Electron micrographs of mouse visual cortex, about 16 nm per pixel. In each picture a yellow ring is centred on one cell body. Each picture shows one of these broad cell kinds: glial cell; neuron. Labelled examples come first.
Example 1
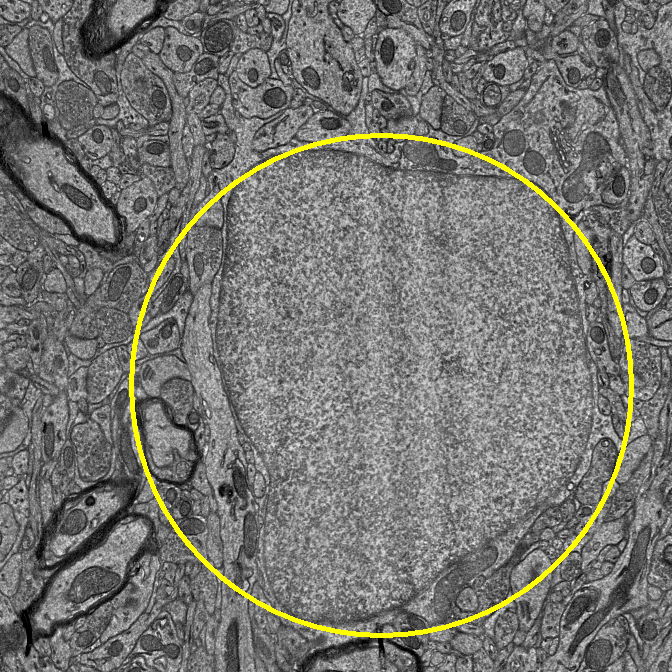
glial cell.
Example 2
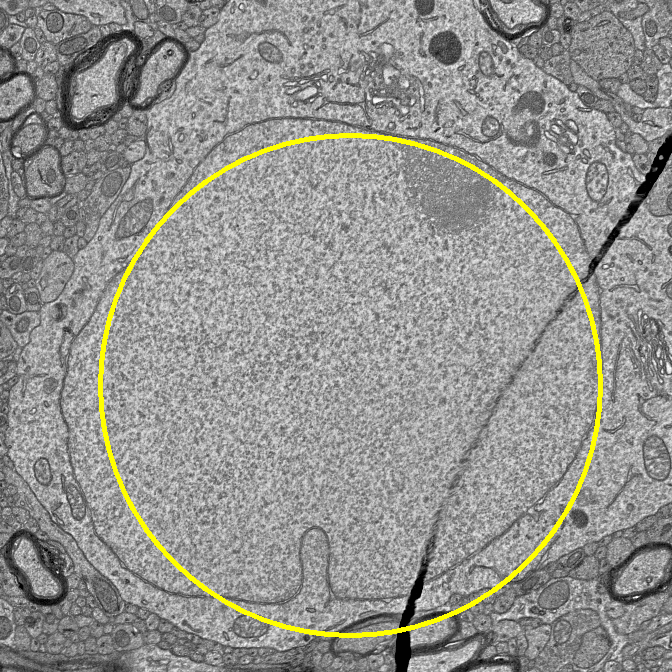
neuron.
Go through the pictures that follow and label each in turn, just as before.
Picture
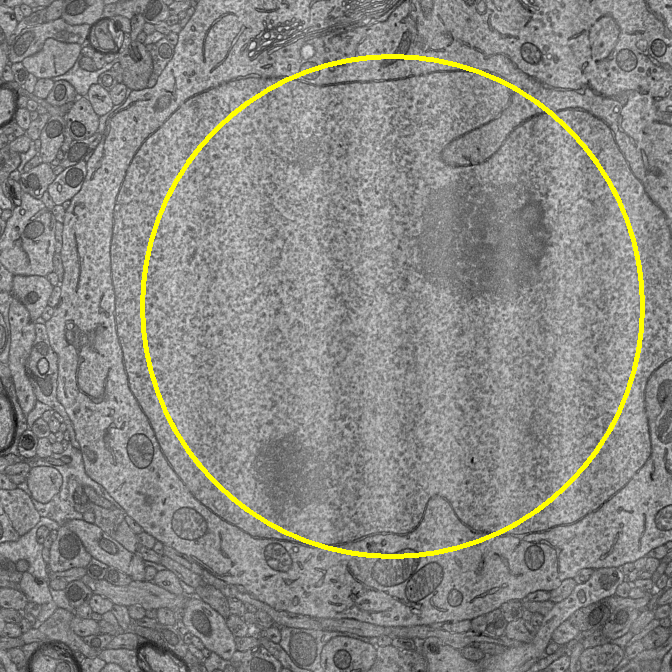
neuron.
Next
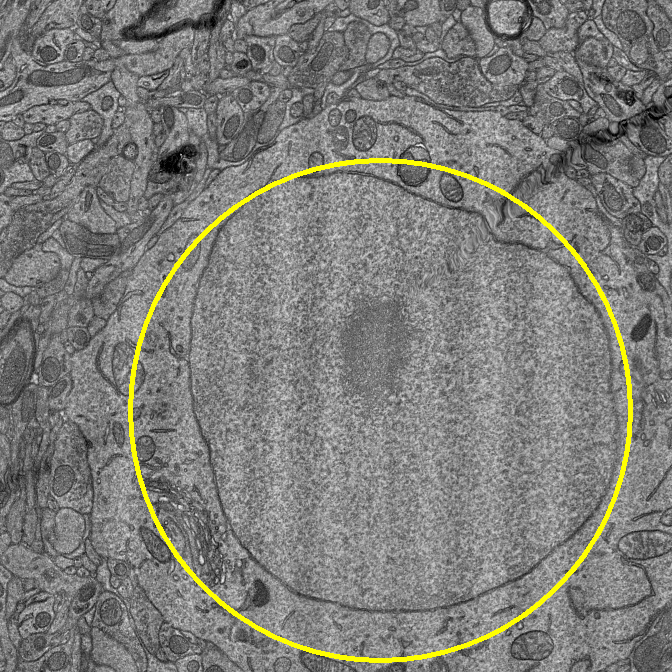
neuron.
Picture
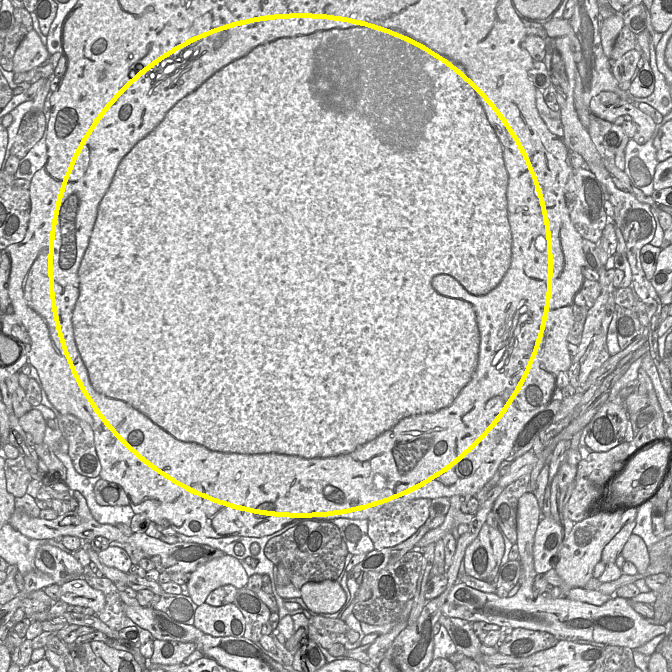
neuron.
